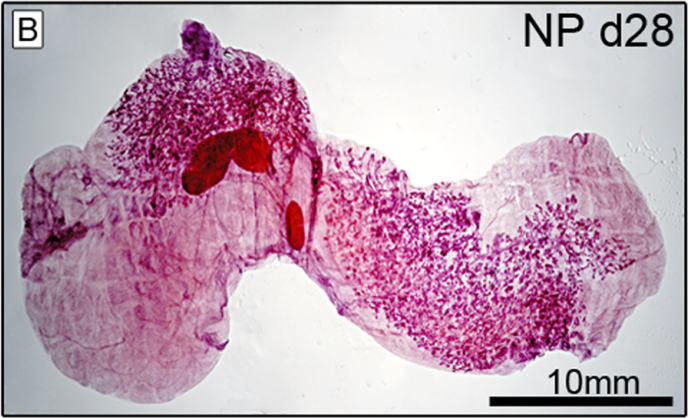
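Whole mount of a mammary gland showing a dense, branched ductal tree stained dark pink-purple within a pale, translucent fat pad. The branches end in small clustered buds and extend across a large part of the pad. Dark red oval bodies lie among the ducts near the middle of the gland.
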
